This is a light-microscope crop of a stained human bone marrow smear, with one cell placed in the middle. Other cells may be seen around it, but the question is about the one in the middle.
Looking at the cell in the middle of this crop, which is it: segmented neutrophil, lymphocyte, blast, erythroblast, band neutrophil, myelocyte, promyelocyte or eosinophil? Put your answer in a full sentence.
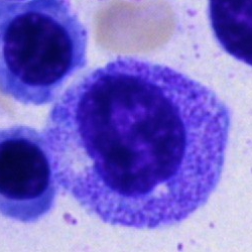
The middle cell in this particular crop is a promyelocyte.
